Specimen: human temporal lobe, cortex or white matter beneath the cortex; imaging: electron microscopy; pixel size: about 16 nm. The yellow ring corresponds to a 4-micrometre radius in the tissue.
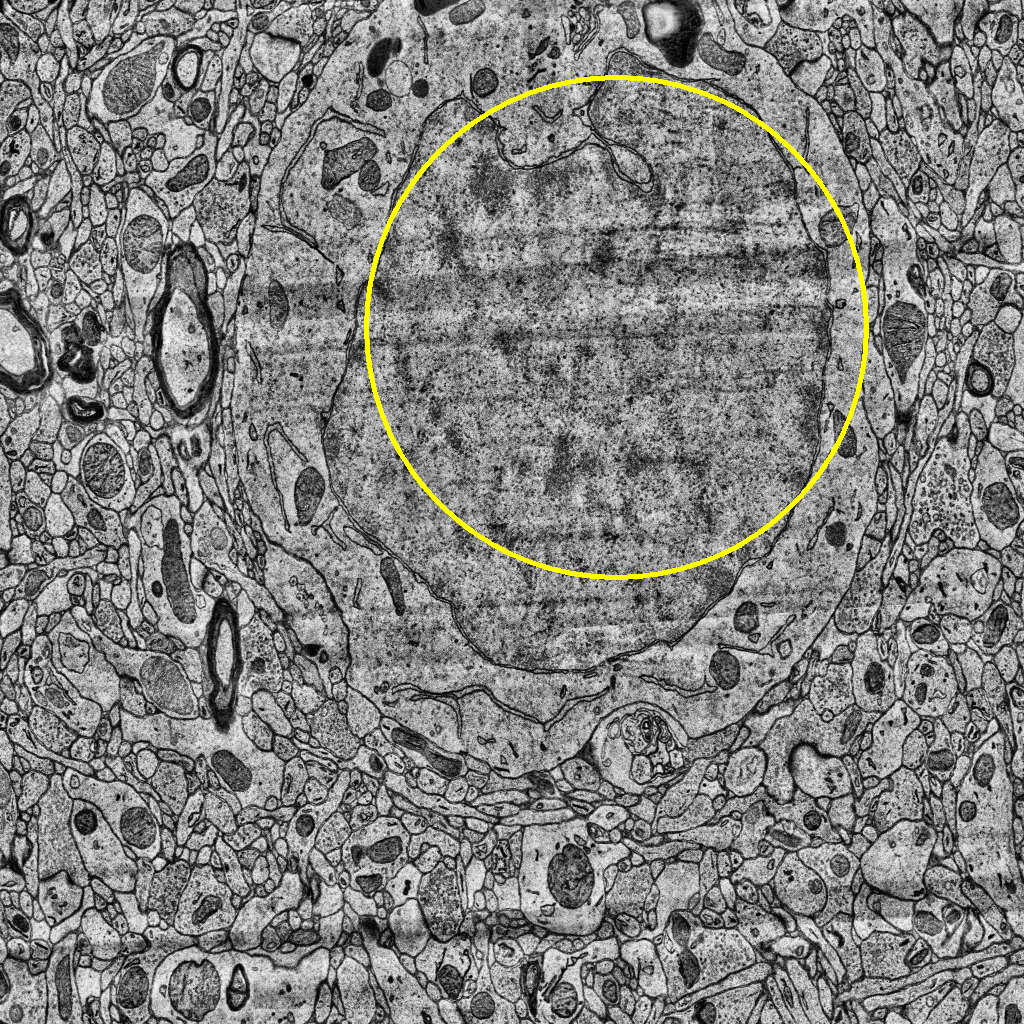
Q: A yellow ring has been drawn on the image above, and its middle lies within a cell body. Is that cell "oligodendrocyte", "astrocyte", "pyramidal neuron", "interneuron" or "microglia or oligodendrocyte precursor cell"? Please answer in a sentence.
The ring's middle lies in the cell body of an interneuron.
